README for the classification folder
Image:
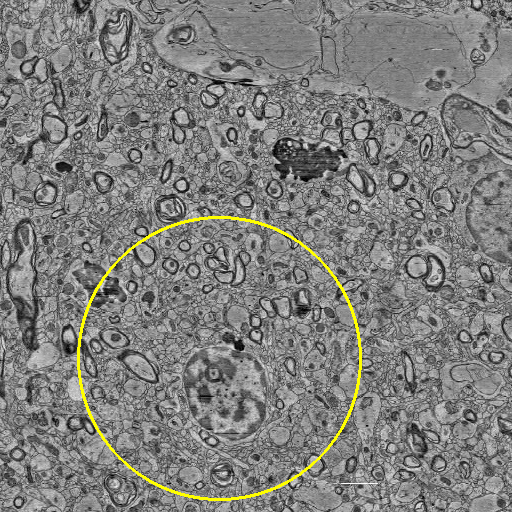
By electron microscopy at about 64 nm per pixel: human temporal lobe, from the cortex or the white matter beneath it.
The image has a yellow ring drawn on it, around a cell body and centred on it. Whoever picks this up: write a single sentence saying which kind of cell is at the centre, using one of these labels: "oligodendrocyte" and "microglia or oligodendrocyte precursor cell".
This cell body is that of a microglial cell or oligodendrocyte precursor cell.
